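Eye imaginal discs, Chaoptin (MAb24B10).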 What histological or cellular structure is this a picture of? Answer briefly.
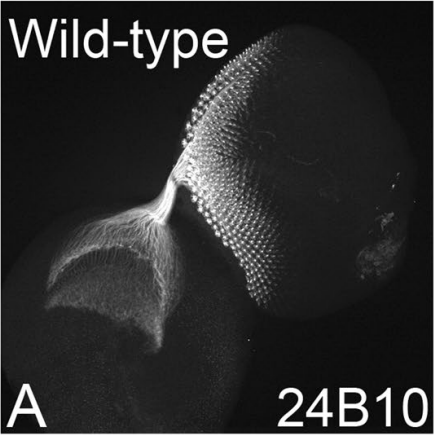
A: Retinal axons.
